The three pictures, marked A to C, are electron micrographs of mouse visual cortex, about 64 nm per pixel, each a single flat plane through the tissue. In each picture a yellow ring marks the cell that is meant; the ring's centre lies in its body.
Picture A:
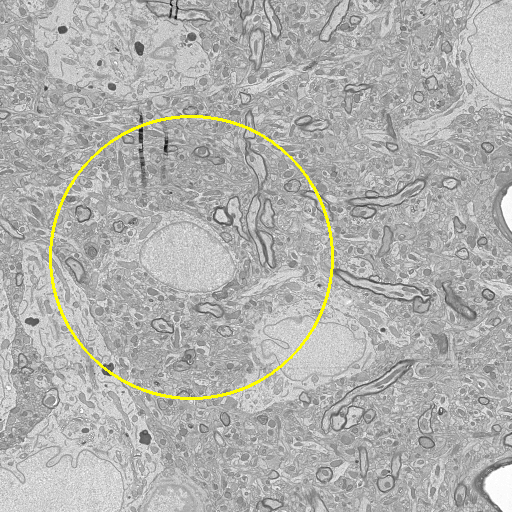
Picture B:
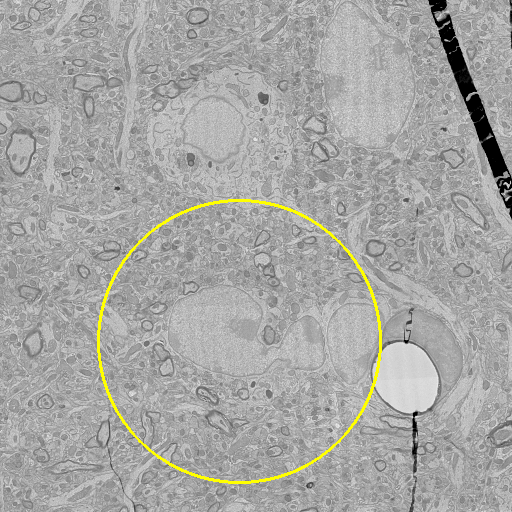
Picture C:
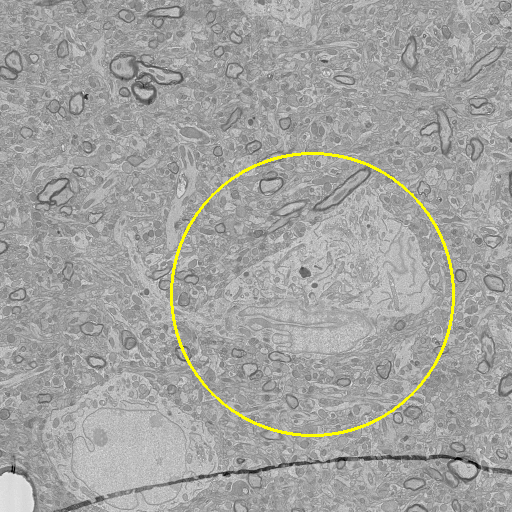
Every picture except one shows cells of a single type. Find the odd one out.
Picture A is the odd one out: it shows an astrocyte, while the others show oligodendrocyte precursor cells.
